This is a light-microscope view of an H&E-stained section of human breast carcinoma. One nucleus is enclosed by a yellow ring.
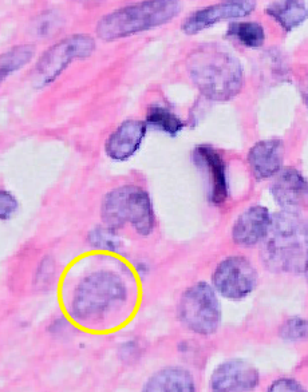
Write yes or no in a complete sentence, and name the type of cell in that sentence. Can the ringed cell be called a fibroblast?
No, the ringed cell is a carcinoma cell in this section, not a fibroblast.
